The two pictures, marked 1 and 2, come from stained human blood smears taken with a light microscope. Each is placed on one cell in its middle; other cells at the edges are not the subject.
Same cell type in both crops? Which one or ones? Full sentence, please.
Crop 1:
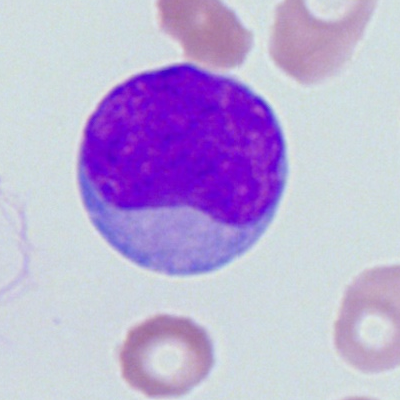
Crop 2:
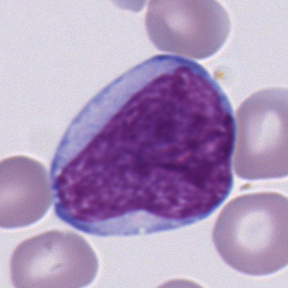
Yes, in the case of both crops, the central cells are blasts.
